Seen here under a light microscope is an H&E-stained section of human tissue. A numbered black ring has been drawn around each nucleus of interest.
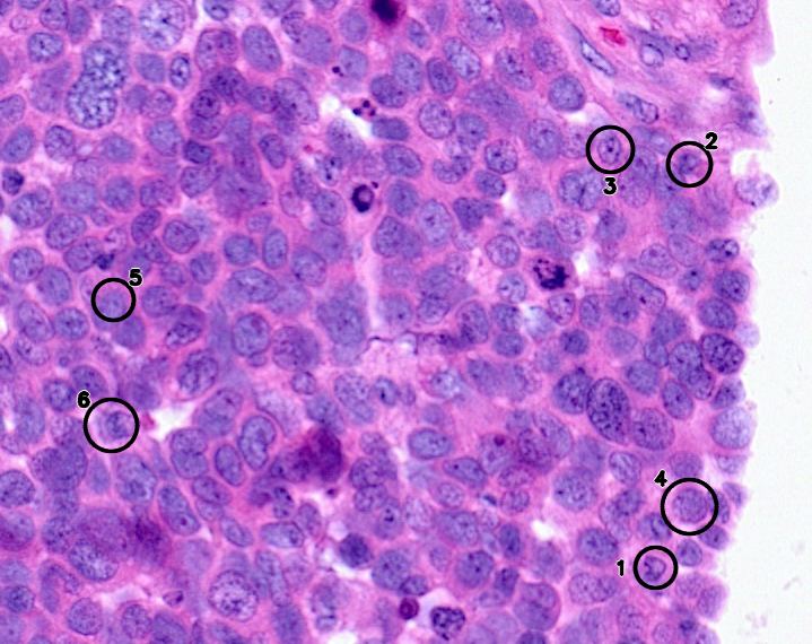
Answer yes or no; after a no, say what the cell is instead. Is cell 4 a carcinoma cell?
Yes.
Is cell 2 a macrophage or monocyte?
Yes.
